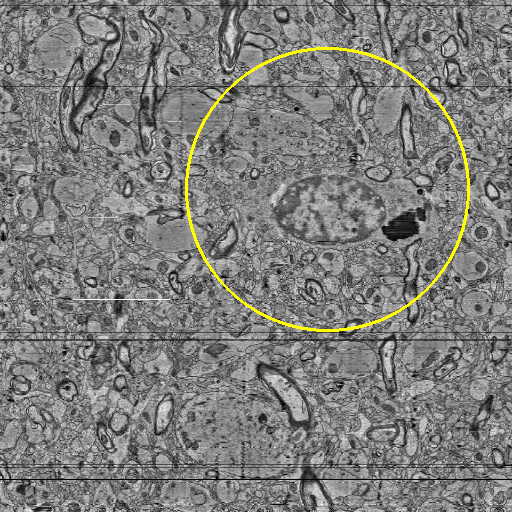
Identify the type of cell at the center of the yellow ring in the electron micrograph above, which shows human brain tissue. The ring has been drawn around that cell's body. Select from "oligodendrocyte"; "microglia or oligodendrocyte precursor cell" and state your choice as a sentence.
The yellow ring is centered on the body of an oligodendrocyte.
